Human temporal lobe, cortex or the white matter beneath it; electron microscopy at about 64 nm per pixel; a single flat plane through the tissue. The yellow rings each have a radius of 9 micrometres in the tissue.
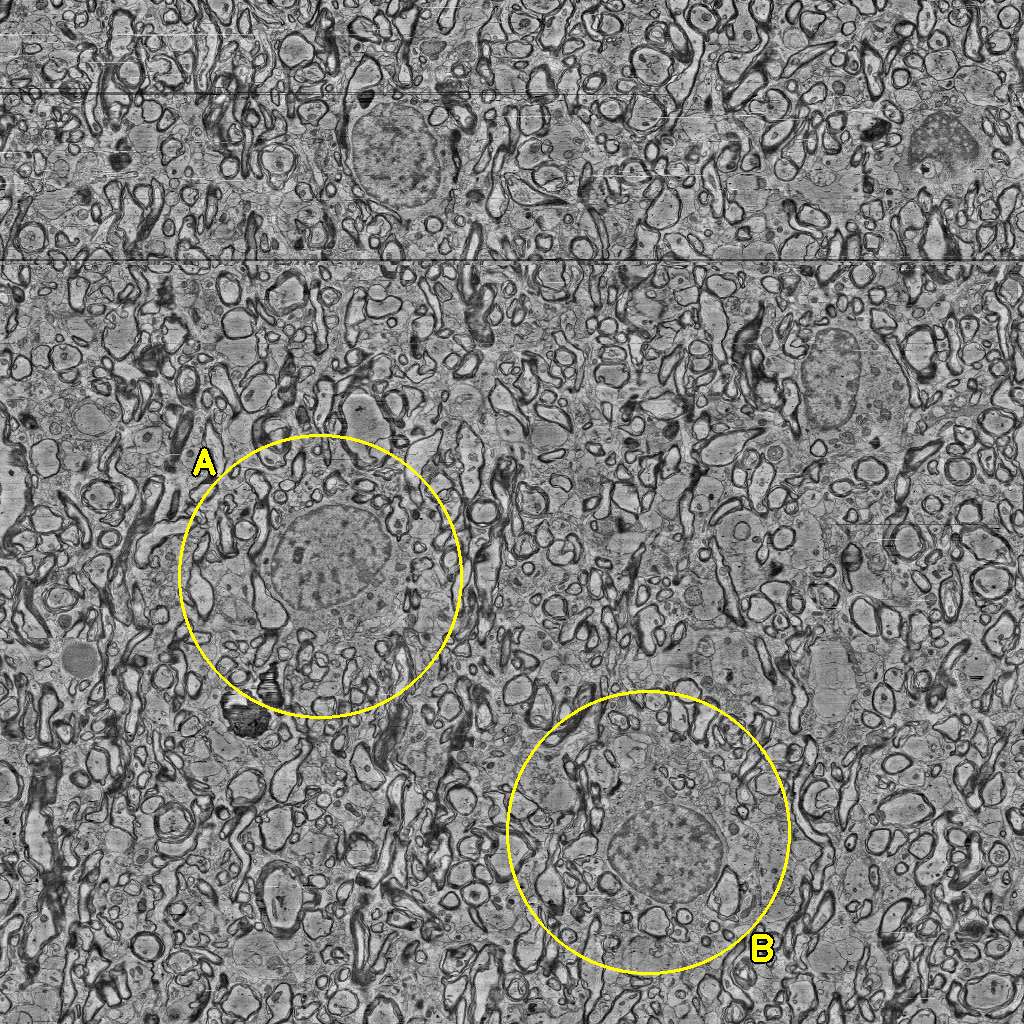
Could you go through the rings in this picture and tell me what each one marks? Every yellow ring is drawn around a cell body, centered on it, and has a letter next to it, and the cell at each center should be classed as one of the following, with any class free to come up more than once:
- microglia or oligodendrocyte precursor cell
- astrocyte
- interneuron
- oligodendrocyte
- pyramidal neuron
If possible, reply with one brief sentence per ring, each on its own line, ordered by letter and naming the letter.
The cell centered in ring A is an oligodendrocyte.
The cell centered in ring B is an oligodendrocyte.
